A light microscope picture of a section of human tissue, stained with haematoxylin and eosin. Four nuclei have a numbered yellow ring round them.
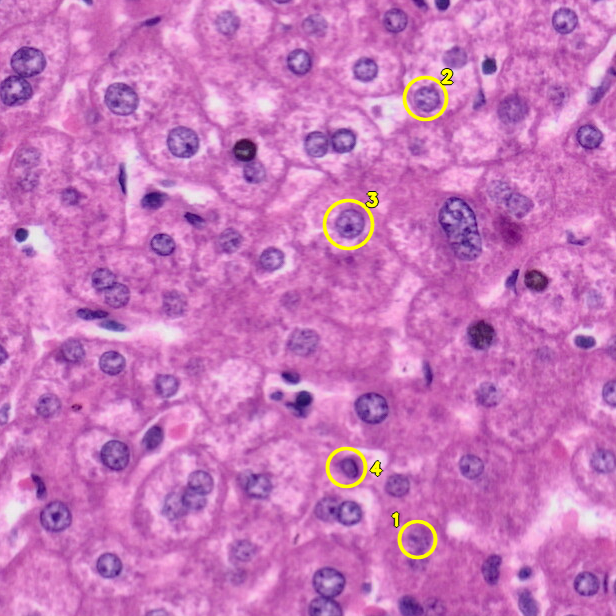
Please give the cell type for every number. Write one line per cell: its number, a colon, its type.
1: hepatocyte
2: hepatocyte
3: hepatocyte
4: Kupffer cell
